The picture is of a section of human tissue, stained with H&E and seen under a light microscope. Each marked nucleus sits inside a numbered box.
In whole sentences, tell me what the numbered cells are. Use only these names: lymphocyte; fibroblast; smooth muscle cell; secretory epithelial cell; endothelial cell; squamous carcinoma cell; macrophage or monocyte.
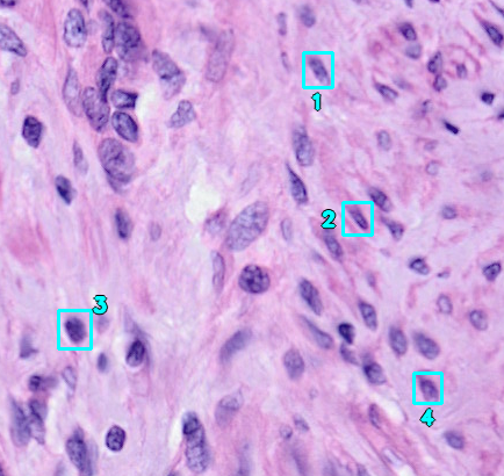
Cells 1, 2 and 4 are smooth muscle cells. Cell 3 is a lymphocyte.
